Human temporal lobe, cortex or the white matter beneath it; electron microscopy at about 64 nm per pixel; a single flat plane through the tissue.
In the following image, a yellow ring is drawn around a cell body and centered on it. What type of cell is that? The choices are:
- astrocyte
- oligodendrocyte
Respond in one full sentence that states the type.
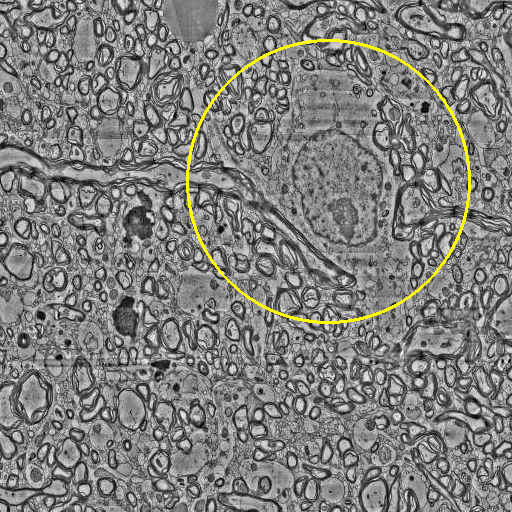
The cell at the center of the yellow ring in the image is an astrocyte.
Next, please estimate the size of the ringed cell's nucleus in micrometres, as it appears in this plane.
The ringed cell's nucleus is about 8 micrometres long and 6 micrometres wide in this plane.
